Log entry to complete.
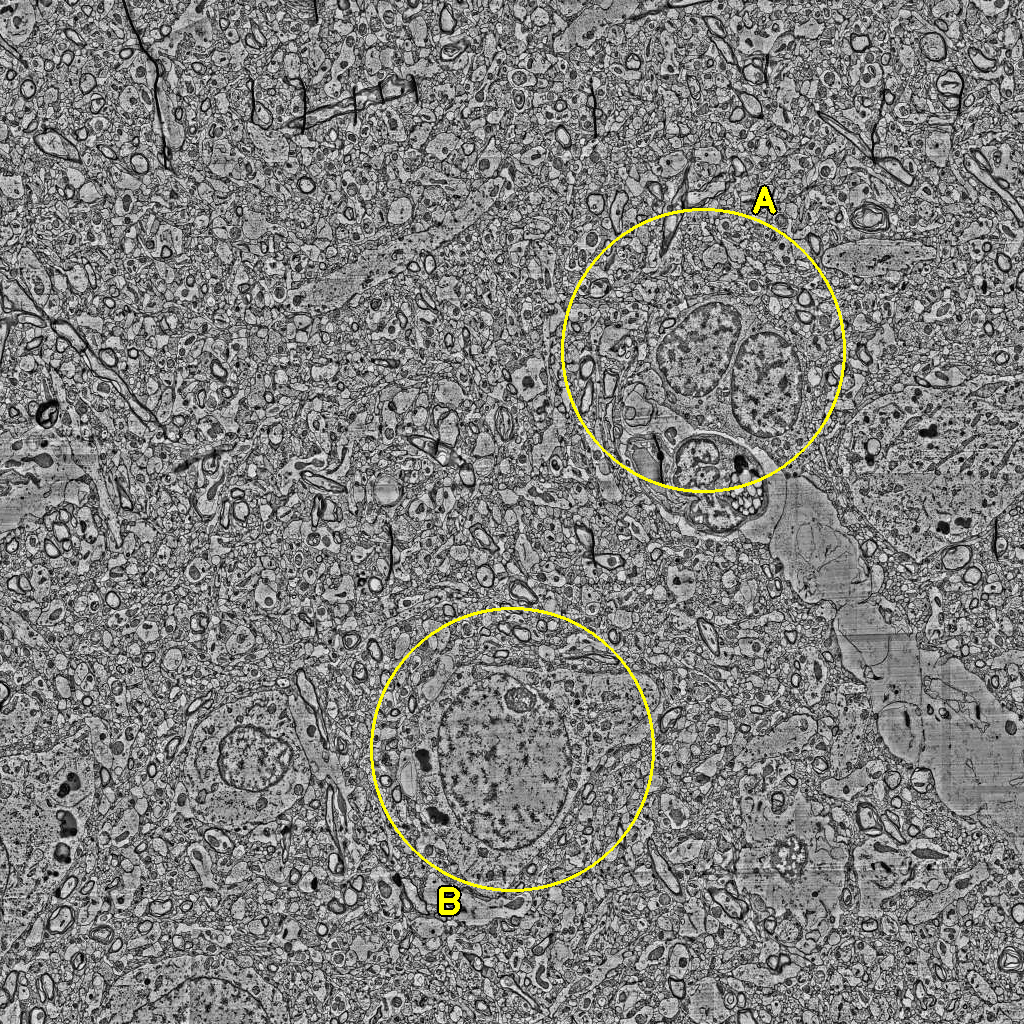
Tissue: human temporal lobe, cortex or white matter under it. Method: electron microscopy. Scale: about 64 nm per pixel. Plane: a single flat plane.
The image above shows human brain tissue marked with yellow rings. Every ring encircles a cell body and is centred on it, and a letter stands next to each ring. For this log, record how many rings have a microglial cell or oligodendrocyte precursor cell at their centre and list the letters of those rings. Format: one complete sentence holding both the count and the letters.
No ring is centred on a microglial cell or oligodendrocyte precursor cell, which makes the count zero.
